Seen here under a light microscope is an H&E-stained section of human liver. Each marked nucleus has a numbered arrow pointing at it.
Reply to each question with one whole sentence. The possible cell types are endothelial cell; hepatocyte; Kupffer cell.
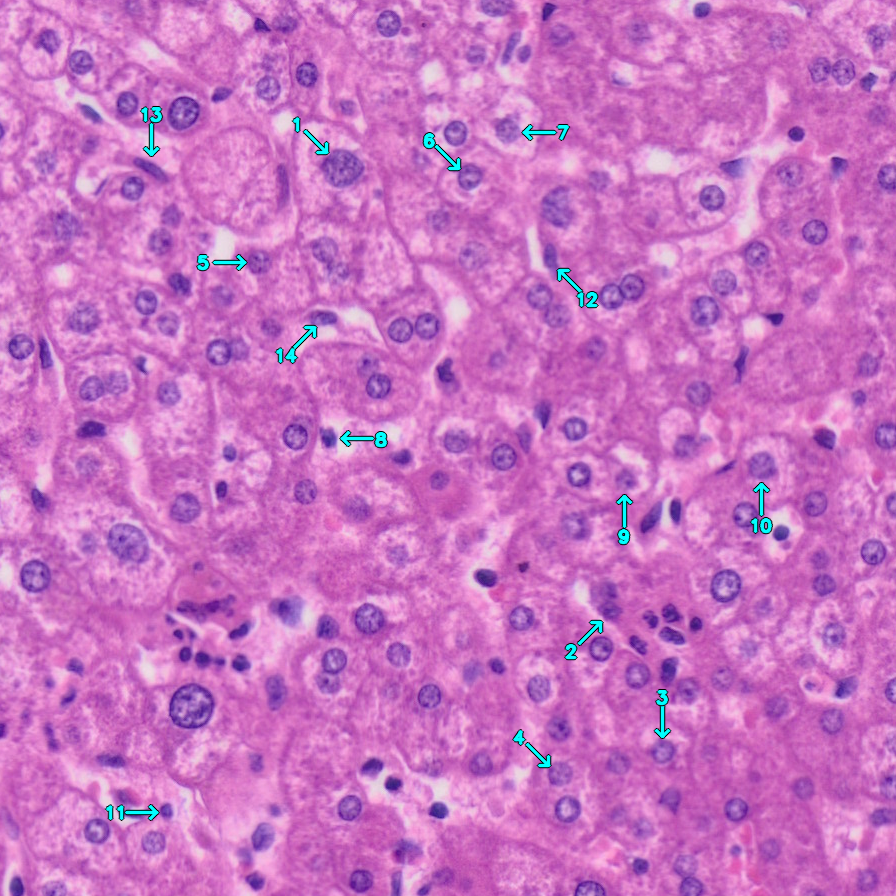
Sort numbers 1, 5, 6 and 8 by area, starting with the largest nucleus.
By area, largest first, they run 1, 6, 5, 8.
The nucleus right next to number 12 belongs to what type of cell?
The nucleus nearest to number 12 is that of a hepatocyte.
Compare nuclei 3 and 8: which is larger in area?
The larger nucleus is 3, at roughly 1.5 times the area of 8.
